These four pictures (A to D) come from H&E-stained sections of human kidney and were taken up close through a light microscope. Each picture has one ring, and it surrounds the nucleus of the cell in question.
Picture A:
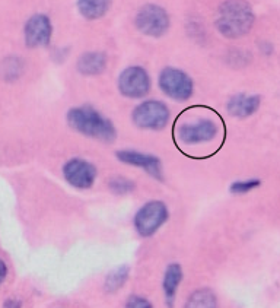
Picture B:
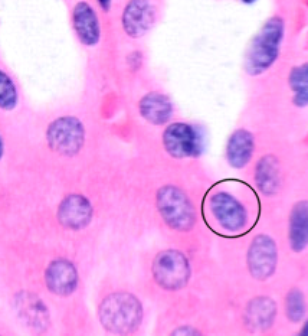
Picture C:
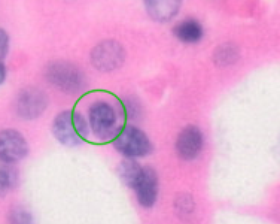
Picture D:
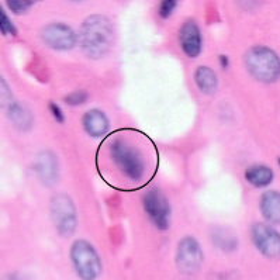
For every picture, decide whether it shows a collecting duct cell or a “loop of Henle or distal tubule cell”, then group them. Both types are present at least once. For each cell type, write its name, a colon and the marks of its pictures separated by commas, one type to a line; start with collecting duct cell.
collecting duct cell: C, D
loop of Henle or distal tubule cell: A, B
